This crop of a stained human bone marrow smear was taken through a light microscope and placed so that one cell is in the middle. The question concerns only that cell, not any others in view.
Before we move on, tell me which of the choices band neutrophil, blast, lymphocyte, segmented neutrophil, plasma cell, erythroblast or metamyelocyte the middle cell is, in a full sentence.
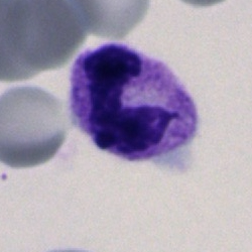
At the crop's centre, the cell is a band neutrophil.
